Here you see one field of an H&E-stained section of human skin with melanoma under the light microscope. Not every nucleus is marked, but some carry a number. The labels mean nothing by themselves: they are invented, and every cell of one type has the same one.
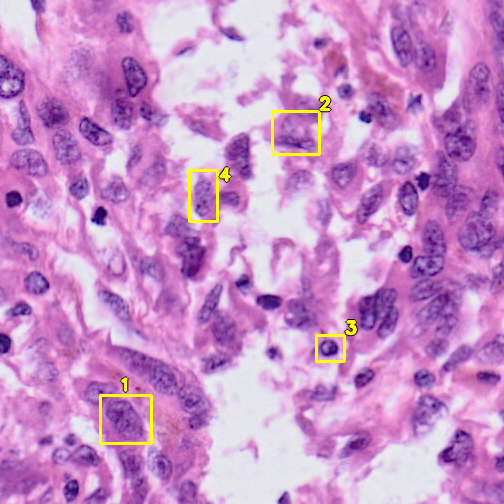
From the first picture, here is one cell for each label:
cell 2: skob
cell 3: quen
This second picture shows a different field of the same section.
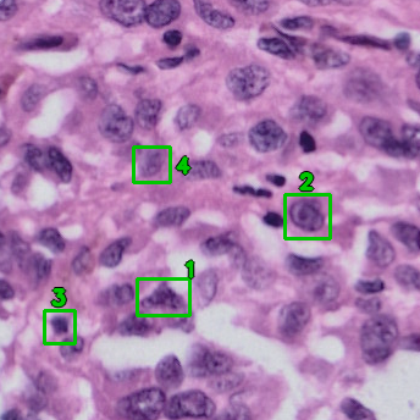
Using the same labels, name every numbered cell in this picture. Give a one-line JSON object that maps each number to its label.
{"1": "skob", "2": "skob", "3": "quen", "4": "skob"}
